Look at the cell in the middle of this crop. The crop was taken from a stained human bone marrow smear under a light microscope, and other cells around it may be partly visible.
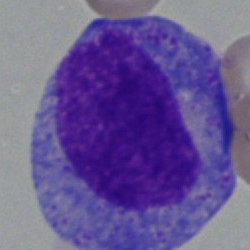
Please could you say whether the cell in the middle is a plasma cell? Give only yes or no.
no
